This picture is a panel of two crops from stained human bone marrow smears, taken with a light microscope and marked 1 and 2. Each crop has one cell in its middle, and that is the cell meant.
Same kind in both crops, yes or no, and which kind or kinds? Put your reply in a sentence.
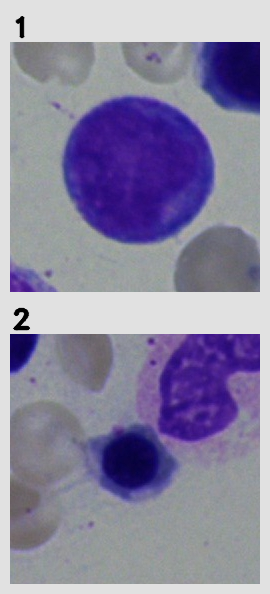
No, crop 2 shows an erythroblast, and crop 1 shows a blast.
